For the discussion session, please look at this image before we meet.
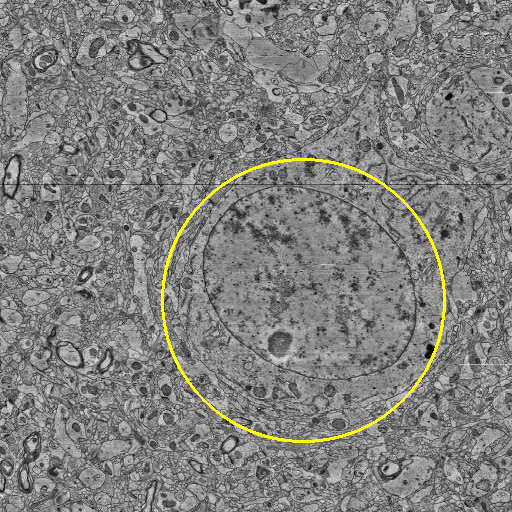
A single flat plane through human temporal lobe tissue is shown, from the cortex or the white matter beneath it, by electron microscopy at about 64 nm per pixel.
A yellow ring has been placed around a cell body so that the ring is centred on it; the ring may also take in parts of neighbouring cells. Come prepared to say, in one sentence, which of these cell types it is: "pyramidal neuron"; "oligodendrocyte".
The cell centred in the ring is a pyramidal neuron.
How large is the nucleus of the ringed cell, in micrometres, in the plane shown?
In this plane the nucleus measures roughly 15 by 12 micrometres.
